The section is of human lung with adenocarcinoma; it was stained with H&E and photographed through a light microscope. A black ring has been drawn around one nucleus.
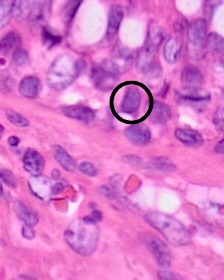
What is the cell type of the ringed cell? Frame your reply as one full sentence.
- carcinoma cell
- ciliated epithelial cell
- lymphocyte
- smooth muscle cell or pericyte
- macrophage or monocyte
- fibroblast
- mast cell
Assigned to a cell type, the ringed cell is a ciliated epithelial cell.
